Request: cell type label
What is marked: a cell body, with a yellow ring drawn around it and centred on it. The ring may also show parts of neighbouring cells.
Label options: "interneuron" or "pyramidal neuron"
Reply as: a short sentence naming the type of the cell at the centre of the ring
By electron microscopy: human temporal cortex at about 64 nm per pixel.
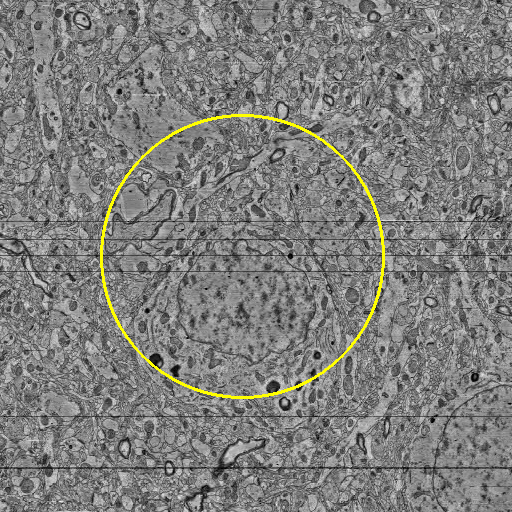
The marked cell body is that of an interneuron.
